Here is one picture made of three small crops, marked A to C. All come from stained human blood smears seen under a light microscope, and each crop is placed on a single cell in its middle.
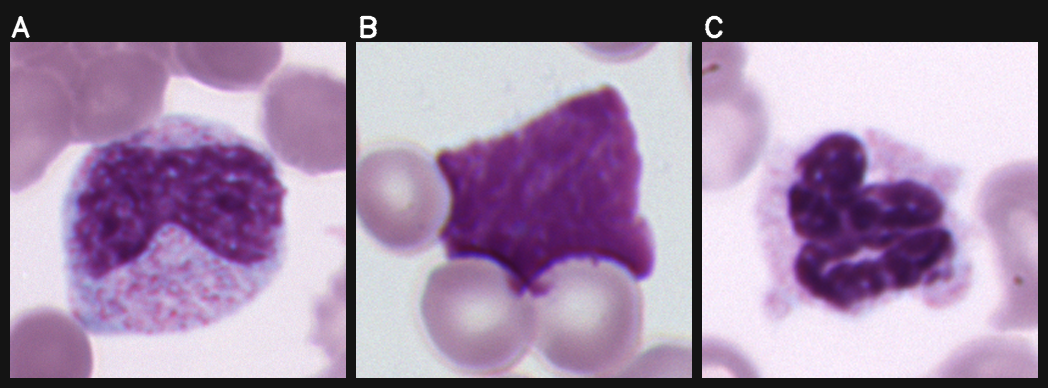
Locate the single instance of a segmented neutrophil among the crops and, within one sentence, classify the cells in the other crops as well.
Centred in crop C is a segmented neutrophil, while crop A is a band neutrophil and crop B is a smudge cell.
